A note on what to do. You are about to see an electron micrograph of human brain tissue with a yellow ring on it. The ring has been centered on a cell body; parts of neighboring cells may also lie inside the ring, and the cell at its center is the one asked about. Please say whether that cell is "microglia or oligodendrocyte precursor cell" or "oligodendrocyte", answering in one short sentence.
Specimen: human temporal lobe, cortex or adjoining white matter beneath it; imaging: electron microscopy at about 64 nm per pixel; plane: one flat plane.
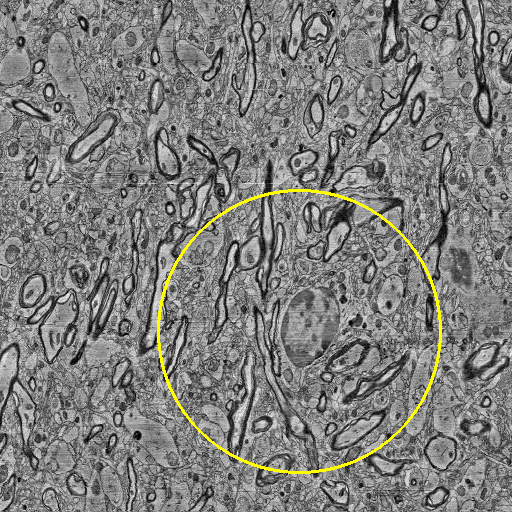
The yellow ring sits on a microglial cell or oligodendrocyte precursor cell.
